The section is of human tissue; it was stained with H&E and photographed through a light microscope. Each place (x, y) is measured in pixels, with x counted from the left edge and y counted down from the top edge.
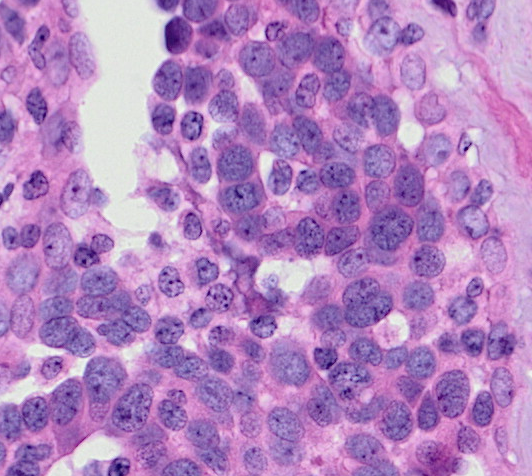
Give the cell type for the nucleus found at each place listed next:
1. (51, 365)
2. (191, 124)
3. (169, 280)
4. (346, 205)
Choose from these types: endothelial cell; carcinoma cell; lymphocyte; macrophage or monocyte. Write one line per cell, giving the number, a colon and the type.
1: macrophage or monocyte
2: macrophage or monocyte
3: macrophage or monocyte
4: carcinoma cell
